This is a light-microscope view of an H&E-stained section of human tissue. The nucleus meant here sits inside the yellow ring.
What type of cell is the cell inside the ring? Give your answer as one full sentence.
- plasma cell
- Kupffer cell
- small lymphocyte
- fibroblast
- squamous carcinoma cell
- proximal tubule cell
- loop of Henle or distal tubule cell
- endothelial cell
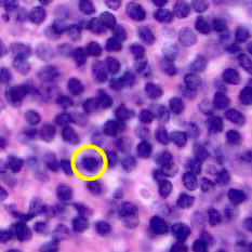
The cell inside the ring is a small lymphocyte.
